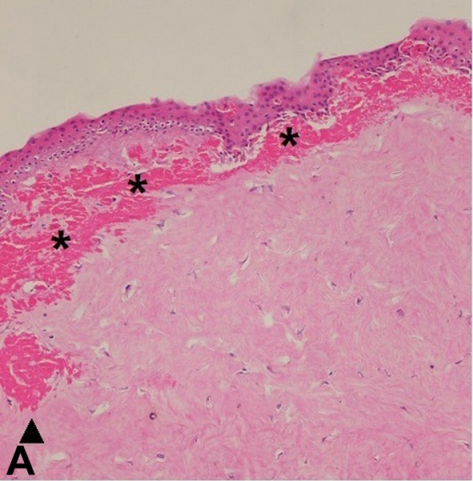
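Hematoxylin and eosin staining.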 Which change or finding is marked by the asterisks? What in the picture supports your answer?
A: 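Eosinophilic deposits. The asterisks lie on bright pink-red clumped material. The clumps sit directly beneath the stratified surface epithelium. The material is more intensely pink than the underlying pale stroma.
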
